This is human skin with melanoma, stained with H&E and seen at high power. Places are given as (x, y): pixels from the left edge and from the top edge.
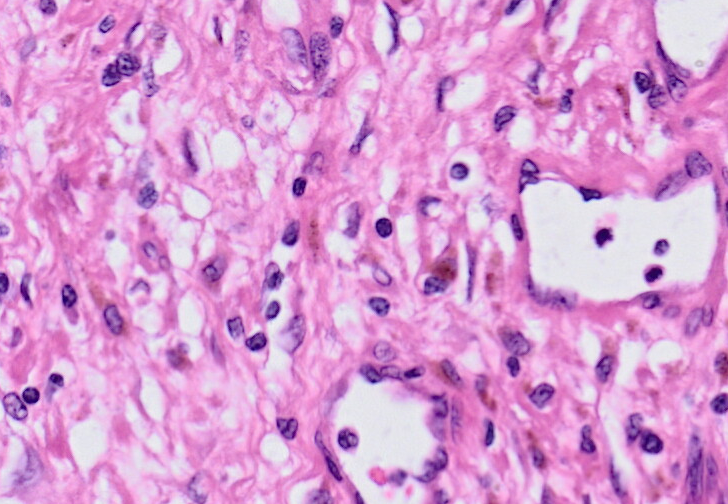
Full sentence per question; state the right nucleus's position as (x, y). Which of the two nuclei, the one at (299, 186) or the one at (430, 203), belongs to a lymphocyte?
Out of the two, it is the nucleus at (299, 186) that belongs to a lymphocyte.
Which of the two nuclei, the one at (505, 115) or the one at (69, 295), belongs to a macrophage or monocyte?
Of the two candidate nuclei, the one at (505, 115) is that of a macrophage or monocyte.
